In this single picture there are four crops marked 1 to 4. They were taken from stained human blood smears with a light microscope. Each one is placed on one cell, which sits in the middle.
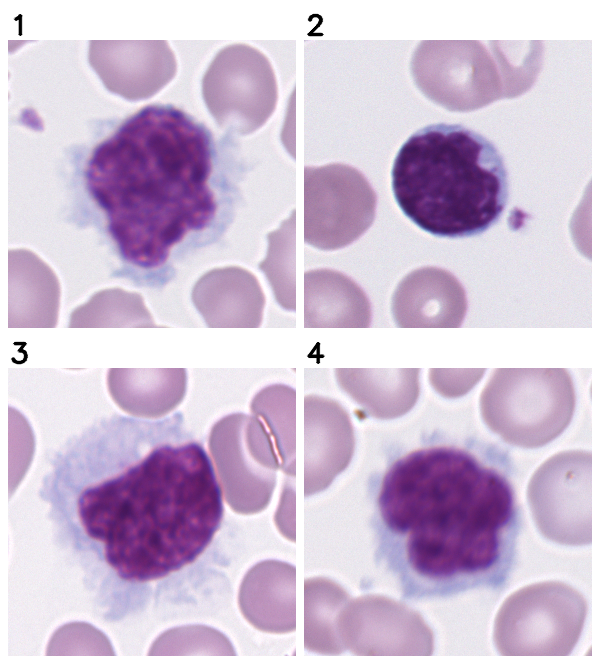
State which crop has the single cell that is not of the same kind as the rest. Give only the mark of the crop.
2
